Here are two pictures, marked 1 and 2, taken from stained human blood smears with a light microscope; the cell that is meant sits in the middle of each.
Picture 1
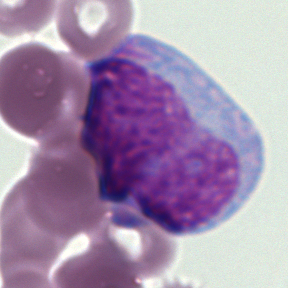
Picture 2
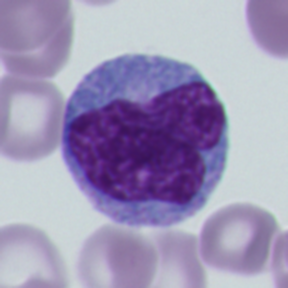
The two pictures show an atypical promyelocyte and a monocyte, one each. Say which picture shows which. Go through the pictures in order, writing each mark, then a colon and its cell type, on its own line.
1: atypical promyelocyte
2: monocyte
